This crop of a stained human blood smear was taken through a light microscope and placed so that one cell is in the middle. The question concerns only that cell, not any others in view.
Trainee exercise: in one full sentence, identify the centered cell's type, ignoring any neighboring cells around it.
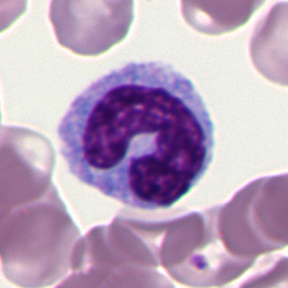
What sits at the centre of this crop is a monocyte.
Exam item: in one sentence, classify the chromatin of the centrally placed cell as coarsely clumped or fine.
Here the nuclear chromatin is coarsely clumped.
